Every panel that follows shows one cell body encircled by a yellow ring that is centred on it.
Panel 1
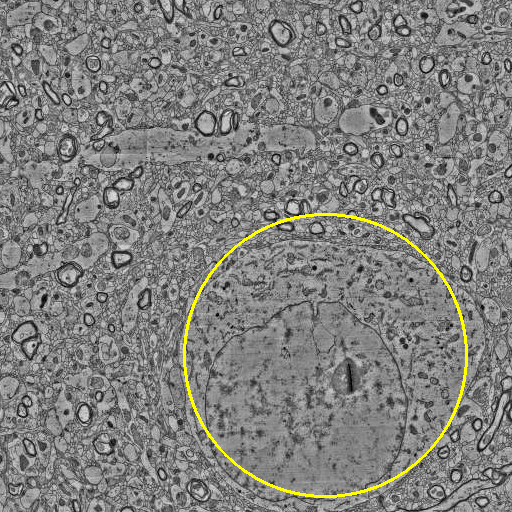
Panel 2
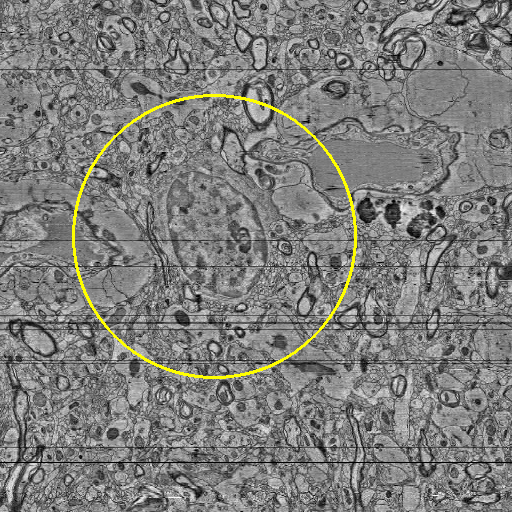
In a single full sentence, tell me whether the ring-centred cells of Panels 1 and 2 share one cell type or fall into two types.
In Panel 1 and Panel 2, the cells at the ring centres fall into two types.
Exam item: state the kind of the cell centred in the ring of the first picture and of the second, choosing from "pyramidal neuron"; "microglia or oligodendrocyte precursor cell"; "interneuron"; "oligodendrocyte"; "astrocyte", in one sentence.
The first picture shows a pyramidal neuron at the ring centre and the second shows an oligodendrocyte.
